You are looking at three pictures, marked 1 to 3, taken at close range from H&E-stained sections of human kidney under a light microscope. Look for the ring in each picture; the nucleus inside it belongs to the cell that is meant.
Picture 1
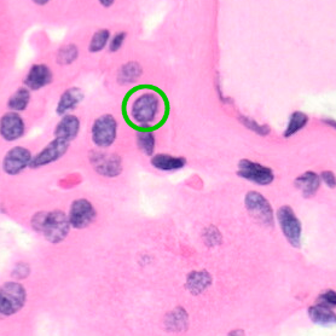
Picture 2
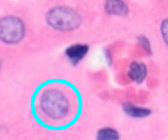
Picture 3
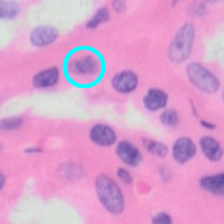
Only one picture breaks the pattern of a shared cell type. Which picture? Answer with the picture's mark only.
2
